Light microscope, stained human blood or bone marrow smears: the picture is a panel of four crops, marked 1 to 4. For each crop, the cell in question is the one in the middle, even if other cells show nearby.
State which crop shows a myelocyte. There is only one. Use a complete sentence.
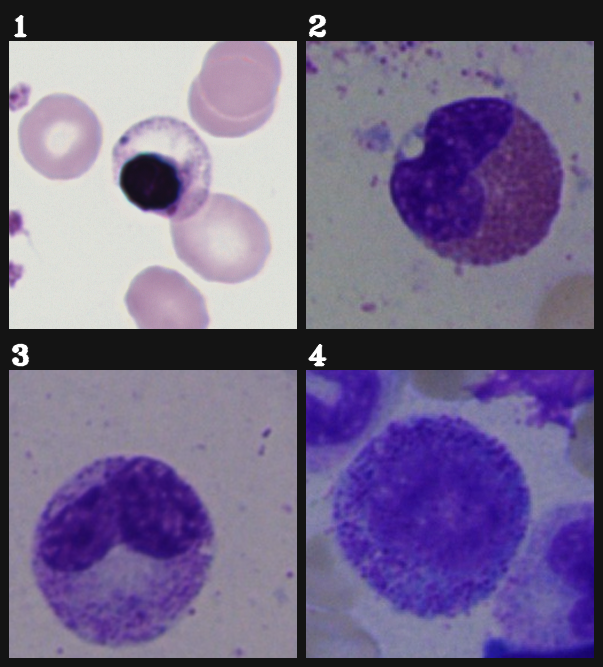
Among the crops provided, a myelocyte occupies the center of crop 4.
